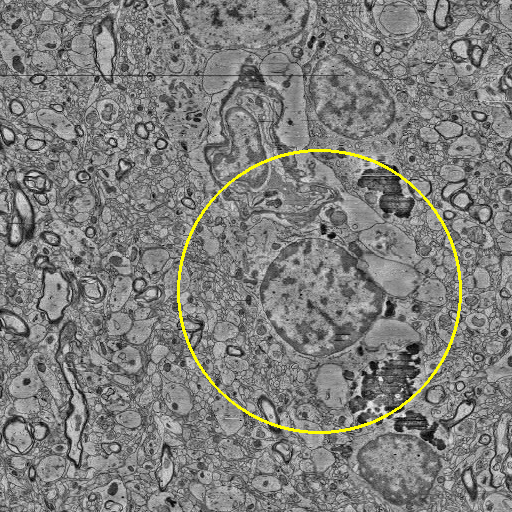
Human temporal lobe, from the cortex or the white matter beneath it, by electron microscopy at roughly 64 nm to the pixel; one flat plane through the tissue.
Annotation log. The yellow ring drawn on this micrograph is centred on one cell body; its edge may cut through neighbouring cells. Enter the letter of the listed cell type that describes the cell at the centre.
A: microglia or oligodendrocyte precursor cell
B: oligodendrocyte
A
